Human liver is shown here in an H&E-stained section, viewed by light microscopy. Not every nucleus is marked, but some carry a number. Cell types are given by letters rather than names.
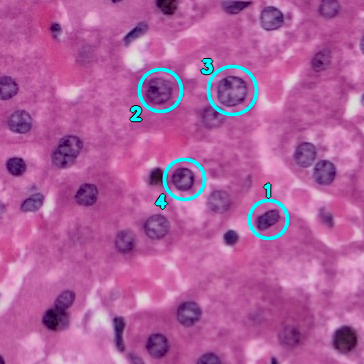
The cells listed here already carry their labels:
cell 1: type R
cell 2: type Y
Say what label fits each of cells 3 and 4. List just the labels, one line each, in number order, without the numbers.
type Y
type Y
